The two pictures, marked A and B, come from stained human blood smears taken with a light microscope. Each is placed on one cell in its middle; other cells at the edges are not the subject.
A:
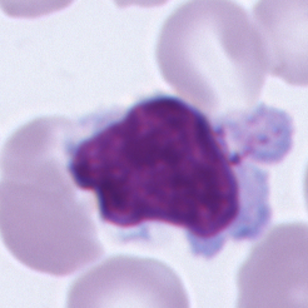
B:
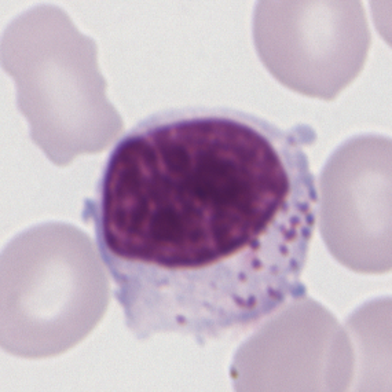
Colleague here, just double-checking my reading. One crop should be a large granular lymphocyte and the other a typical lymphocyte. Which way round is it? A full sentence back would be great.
Among the crops, crop A is a typical lymphocyte and crop B is a large granular lymphocyte.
